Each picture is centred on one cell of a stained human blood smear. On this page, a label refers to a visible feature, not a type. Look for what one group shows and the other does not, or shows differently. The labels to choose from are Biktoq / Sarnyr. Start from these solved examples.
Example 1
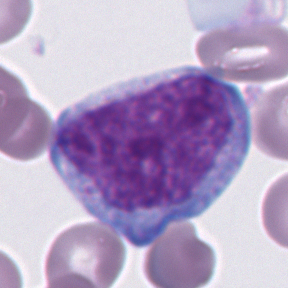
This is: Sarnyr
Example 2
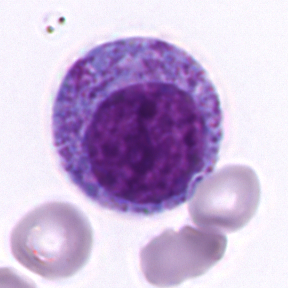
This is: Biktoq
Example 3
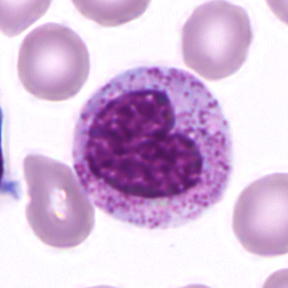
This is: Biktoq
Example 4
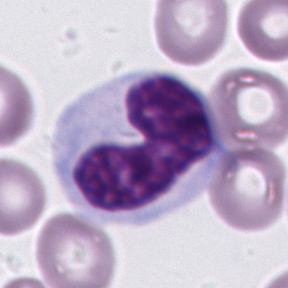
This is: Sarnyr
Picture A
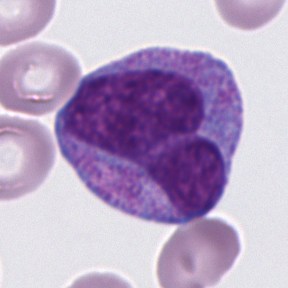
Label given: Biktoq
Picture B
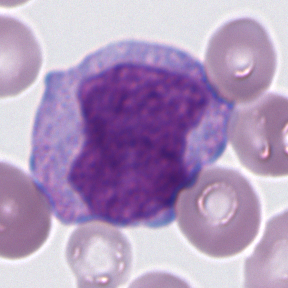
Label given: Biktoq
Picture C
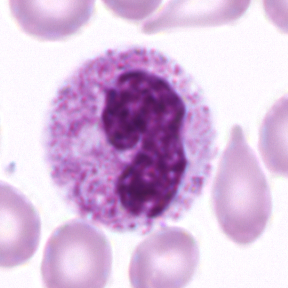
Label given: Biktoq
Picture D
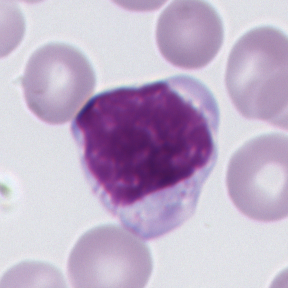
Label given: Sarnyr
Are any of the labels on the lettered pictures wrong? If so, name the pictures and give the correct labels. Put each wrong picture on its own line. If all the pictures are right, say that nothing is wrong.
All labels are correct.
